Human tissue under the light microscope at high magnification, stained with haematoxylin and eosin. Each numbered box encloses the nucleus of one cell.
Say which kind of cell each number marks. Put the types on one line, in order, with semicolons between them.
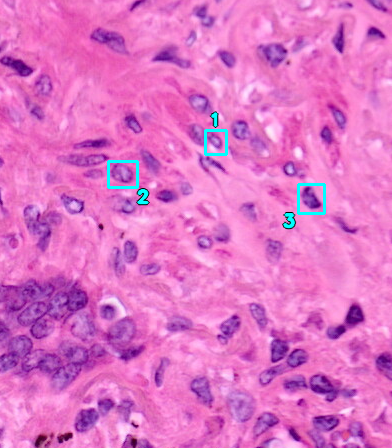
smooth muscle cell or pericyte; smooth muscle cell or pericyte; mast cell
